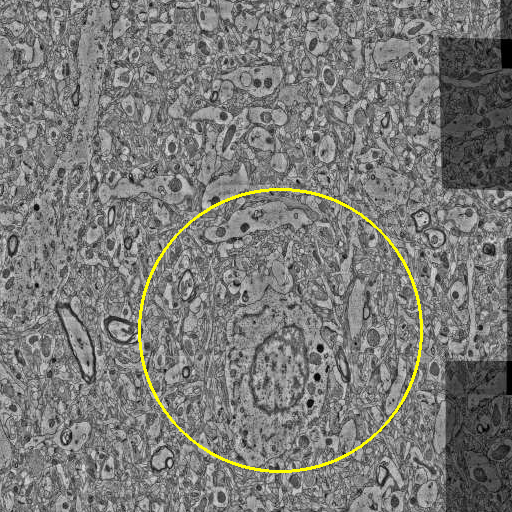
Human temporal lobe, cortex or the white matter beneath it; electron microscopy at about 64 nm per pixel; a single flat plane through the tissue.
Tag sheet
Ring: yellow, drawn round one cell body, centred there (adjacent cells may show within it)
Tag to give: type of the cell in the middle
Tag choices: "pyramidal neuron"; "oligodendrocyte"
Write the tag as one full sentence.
I tag the cell centred in the yellow ring as a pyramidal neuron in this picture.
